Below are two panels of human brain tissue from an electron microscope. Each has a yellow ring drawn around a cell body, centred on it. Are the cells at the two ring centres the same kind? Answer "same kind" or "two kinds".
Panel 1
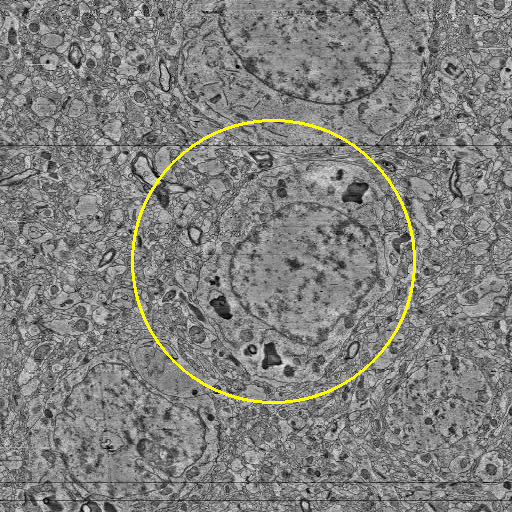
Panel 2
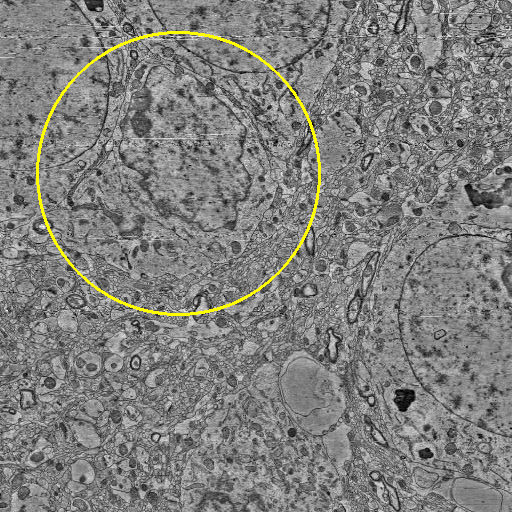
same kind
